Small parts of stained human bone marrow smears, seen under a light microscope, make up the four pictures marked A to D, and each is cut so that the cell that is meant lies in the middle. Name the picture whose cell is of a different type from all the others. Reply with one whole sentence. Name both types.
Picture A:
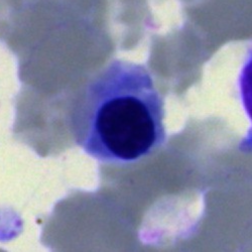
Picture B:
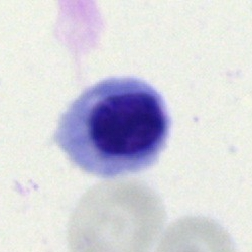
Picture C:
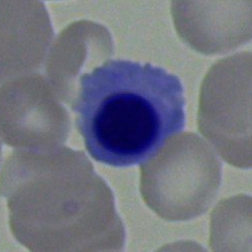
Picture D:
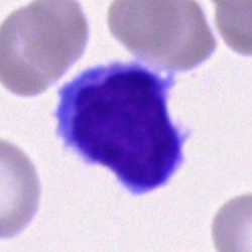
Unlike the rest, which show erythroblasts, picture D shows a lymphocyte.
